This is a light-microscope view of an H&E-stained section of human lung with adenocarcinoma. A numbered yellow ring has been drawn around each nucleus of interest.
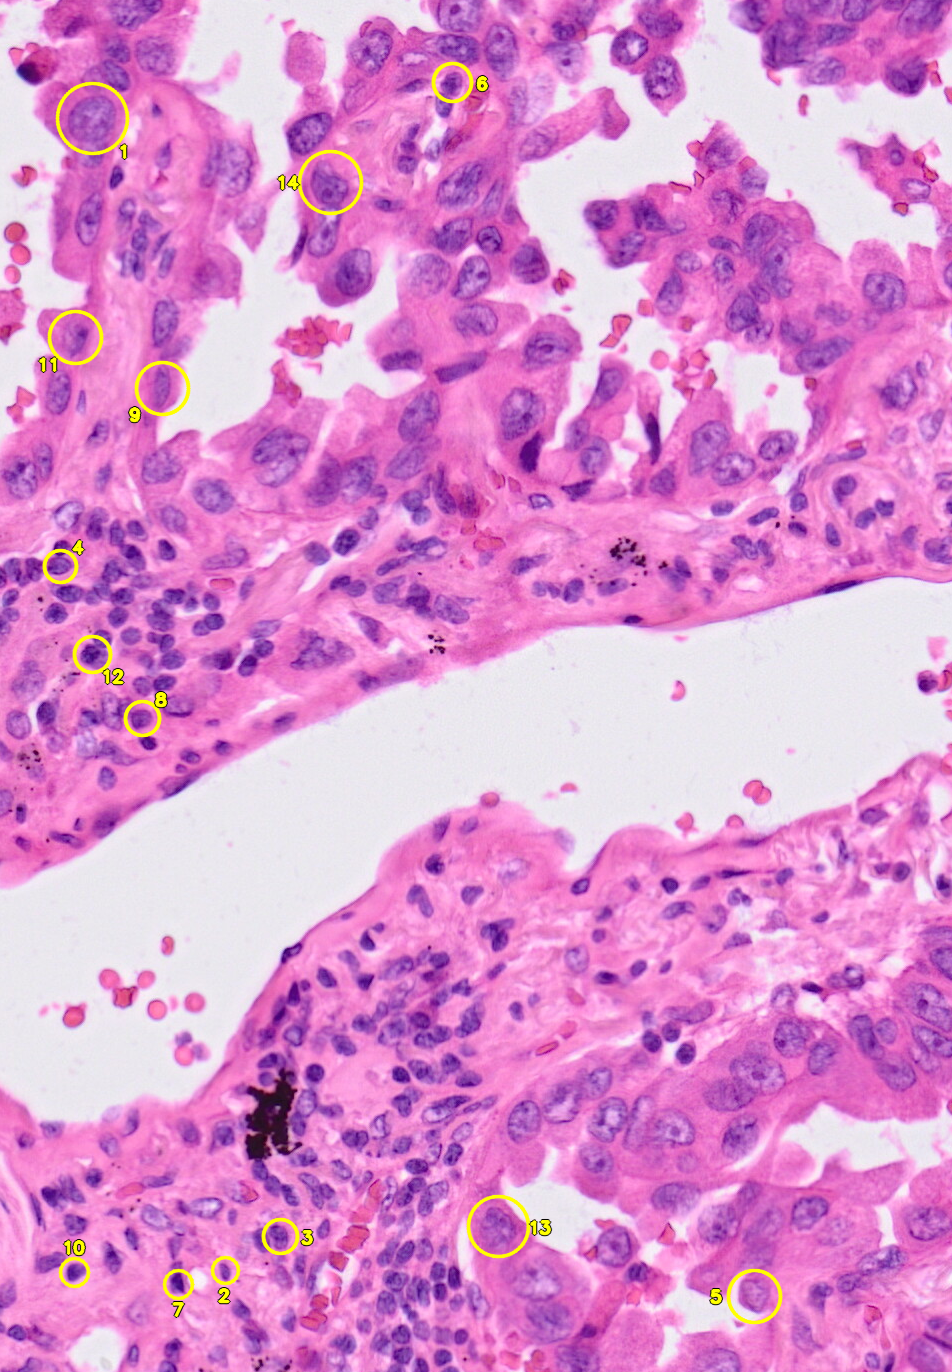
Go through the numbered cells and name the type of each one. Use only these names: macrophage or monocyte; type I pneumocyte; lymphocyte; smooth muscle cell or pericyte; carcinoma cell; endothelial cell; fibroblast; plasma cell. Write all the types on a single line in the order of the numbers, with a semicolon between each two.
carcinoma cell; lymphocyte; lymphocyte; lymphocyte; carcinoma cell; lymphocyte; lymphocyte; lymphocyte; carcinoma cell; lymphocyte; carcinoma cell; lymphocyte; carcinoma cell; carcinoma cell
